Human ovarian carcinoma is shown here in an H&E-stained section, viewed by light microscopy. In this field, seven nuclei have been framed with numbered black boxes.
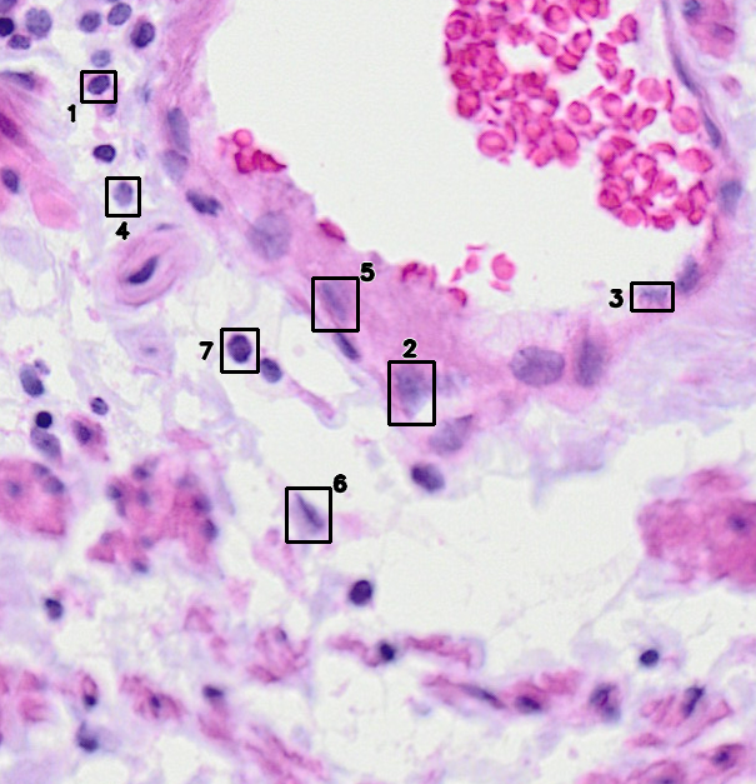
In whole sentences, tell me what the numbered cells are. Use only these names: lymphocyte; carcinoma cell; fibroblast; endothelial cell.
Cells 1, 4 and 7 are lymphocytes. Cells 2, 3 and 5 are endothelial cells. Cell 6 is a fibroblast.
